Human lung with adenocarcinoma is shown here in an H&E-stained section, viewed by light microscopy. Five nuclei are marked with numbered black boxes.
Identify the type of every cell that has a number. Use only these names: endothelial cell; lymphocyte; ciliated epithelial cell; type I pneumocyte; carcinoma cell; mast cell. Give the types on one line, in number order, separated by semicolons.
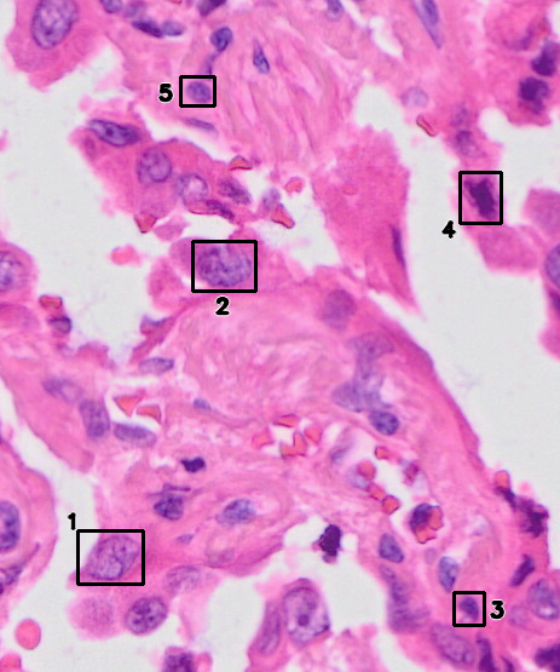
carcinoma cell; carcinoma cell; lymphocyte; carcinoma cell; lymphocyte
